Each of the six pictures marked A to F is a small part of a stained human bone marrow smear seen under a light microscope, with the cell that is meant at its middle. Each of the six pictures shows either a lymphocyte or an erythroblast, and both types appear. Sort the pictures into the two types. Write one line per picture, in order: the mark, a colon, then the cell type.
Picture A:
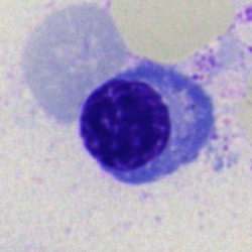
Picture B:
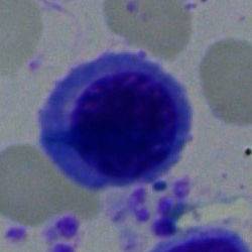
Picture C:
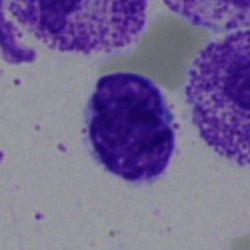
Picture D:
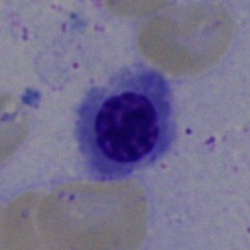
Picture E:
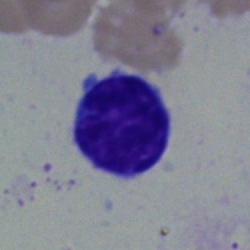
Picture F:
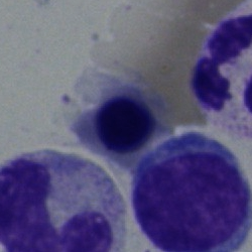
A: erythroblast
B: erythroblast
C: lymphocyte
D: erythroblast
E: lymphocyte
F: erythroblast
